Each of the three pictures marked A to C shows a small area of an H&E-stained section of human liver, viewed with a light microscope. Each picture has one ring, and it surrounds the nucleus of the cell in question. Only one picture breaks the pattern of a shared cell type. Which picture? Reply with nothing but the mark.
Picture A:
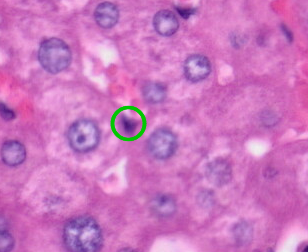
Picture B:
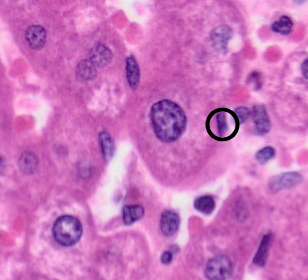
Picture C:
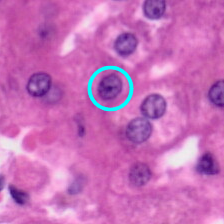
C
